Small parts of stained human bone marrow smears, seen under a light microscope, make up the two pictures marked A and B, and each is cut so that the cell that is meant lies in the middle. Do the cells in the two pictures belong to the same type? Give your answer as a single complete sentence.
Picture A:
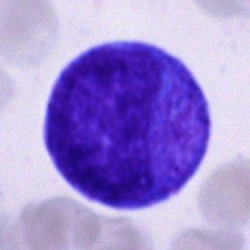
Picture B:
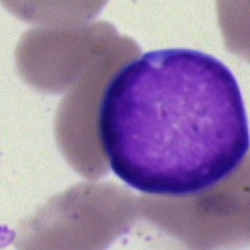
No, the types are not the same, since picture A shows a promyelocyte and picture B a blast.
